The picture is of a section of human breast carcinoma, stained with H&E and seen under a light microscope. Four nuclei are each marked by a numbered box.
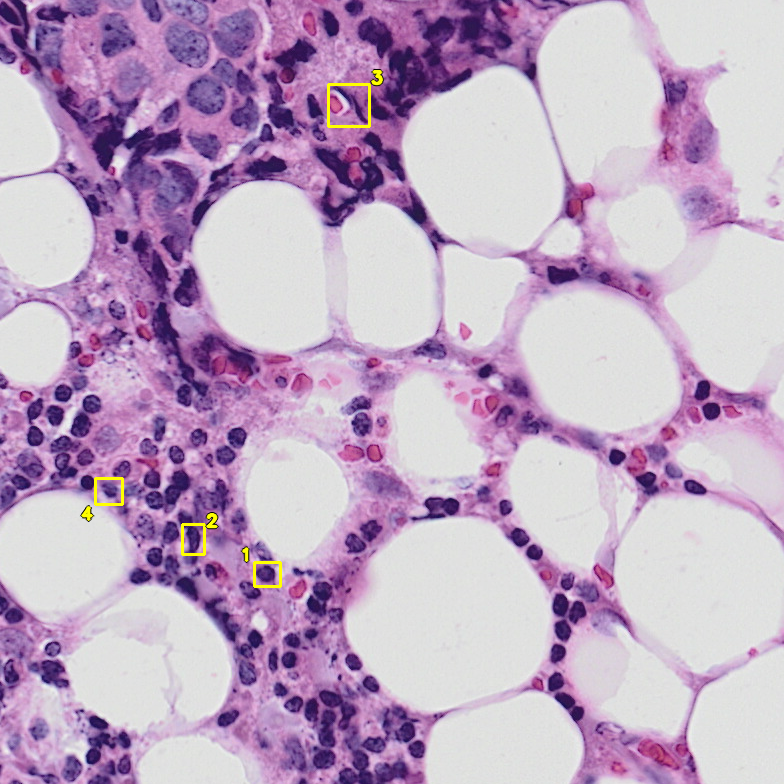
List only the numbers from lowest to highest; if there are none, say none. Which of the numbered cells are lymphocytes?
1, 2, 4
